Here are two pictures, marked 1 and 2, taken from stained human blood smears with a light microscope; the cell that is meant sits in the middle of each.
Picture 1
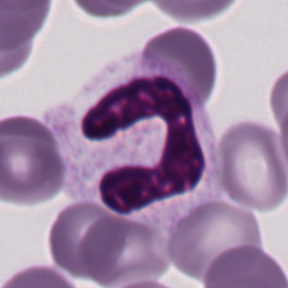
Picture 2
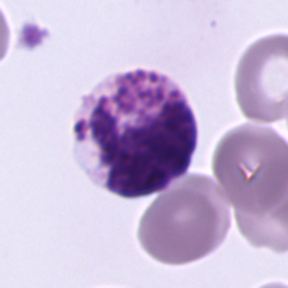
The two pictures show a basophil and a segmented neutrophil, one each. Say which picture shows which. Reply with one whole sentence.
Picture 2 shows a basophil, while picture 1 shows a segmented neutrophil.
